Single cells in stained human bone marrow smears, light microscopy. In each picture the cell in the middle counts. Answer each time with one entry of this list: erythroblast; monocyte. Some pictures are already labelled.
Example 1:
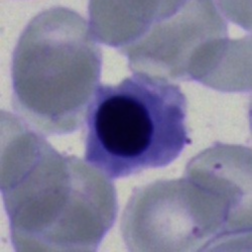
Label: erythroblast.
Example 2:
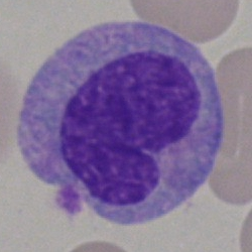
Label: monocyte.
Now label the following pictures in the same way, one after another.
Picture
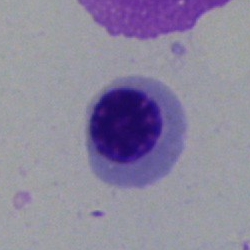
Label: erythroblast.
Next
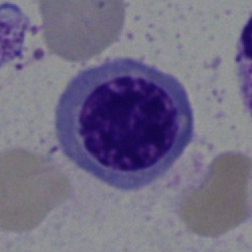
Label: erythroblast.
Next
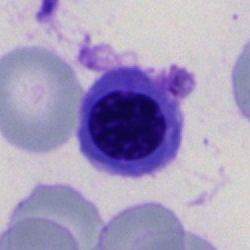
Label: erythroblast.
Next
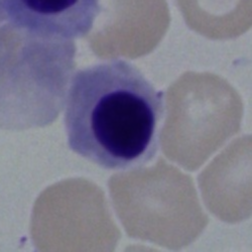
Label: erythroblast.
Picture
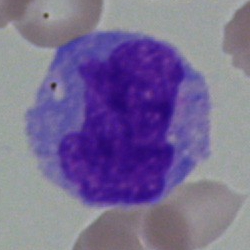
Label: monocyte.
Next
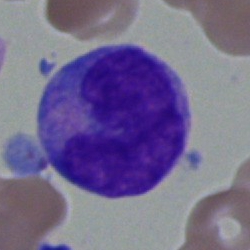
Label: monocyte.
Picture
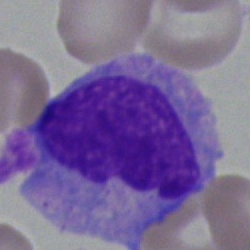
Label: monocyte.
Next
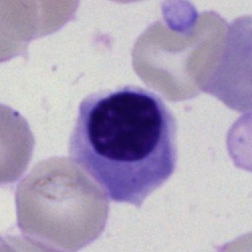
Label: erythroblast.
